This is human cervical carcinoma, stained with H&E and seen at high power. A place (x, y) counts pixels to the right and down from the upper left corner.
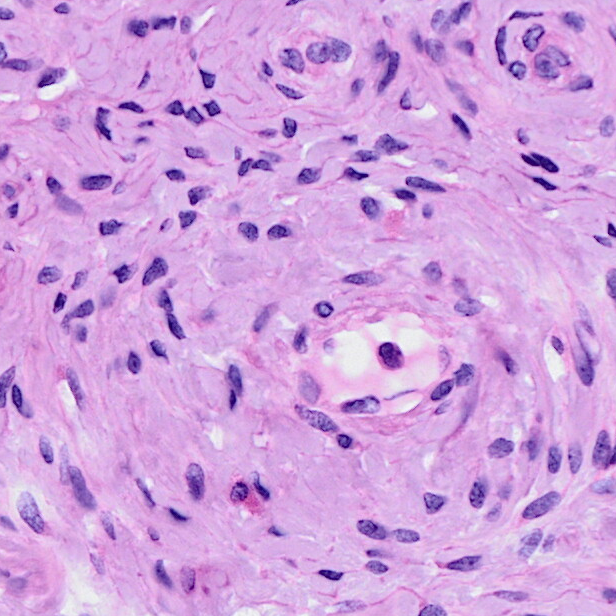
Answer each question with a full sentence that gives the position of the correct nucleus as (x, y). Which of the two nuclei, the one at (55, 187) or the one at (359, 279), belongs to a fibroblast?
The nucleus lying at (55, 187) is the nucleus of a fibroblast.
